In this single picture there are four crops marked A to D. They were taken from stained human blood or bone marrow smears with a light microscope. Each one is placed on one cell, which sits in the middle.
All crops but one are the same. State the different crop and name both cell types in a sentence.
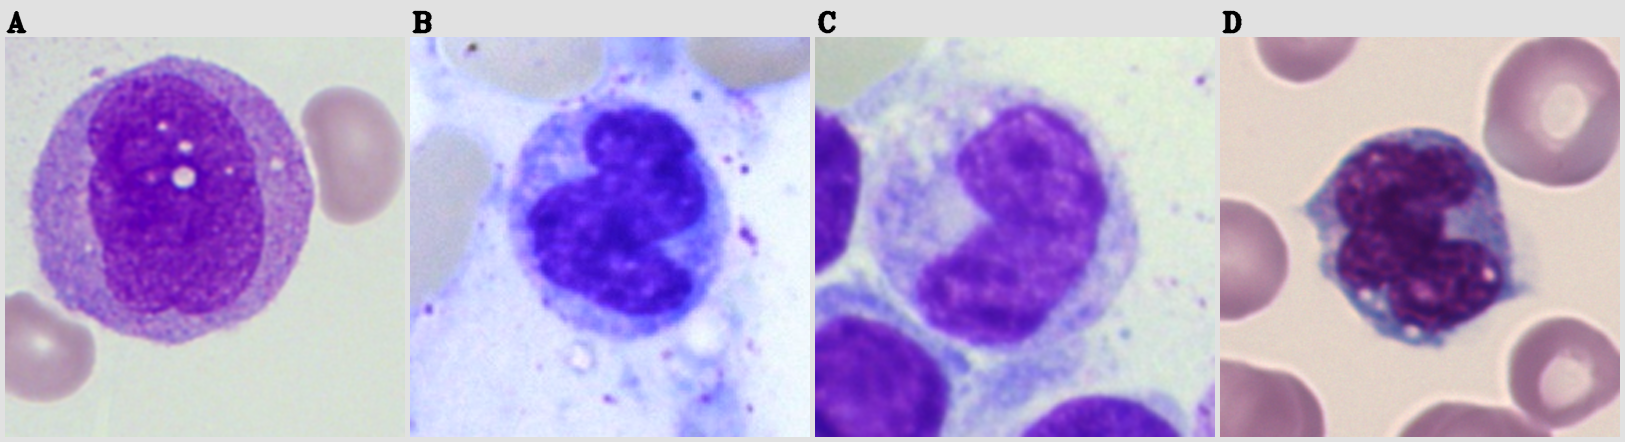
Shown in crop A is a blast, in contrast to the monocytes of all the other crops.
